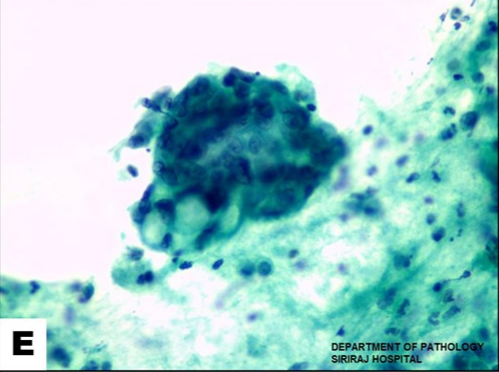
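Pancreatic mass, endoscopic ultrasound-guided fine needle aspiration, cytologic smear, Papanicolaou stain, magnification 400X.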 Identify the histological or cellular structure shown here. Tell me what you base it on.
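Three-dimensional cluster of malignant cells. Nuclei in the group are dark blue and crowded together.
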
